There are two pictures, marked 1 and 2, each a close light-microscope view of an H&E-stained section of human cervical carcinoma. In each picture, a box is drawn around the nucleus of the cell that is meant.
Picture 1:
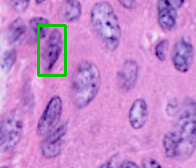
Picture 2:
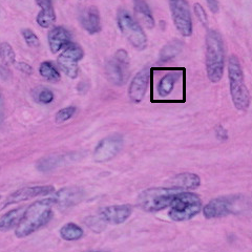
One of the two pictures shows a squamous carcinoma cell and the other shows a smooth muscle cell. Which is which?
1: squamous carcinoma cell
2: smooth muscle cell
